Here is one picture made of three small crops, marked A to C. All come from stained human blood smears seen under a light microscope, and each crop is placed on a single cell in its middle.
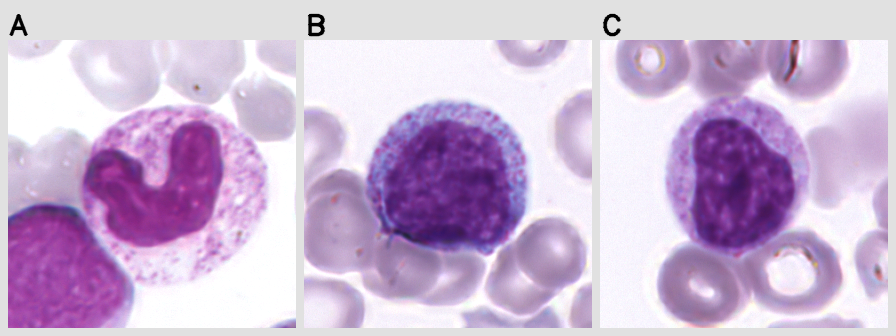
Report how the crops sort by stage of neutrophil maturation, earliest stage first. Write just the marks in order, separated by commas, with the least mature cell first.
B, C, A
